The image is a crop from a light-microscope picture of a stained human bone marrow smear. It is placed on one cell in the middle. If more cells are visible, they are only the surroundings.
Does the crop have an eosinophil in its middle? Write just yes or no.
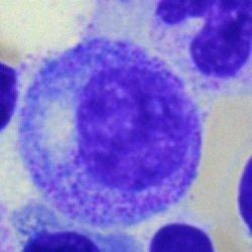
no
